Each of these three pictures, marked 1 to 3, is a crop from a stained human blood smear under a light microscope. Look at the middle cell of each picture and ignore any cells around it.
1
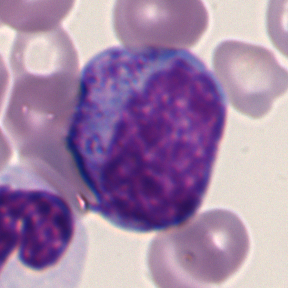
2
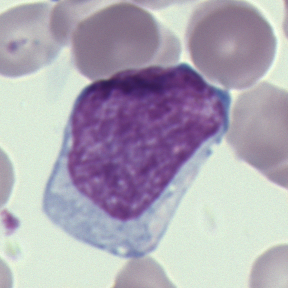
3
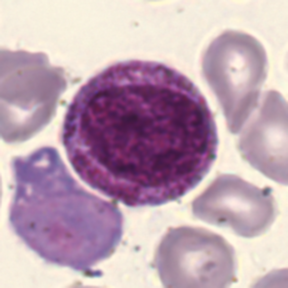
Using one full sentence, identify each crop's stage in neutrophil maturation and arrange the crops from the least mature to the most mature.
Along the maturation pathway, from earliest to latest, the order is crop 2 (a blast), crop 1 (a promyelocyte) and crop 3 (a myelocyte).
